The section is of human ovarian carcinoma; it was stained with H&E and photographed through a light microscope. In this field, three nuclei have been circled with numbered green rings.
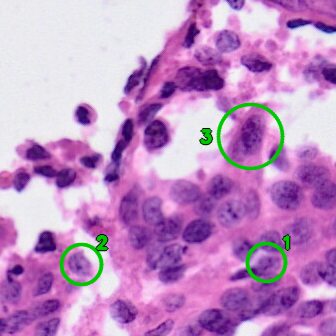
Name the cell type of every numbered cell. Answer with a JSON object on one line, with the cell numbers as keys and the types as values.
{"1": "carcinoma cell", "2": "macrophage or monocyte", "3": "carcinoma cell"}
